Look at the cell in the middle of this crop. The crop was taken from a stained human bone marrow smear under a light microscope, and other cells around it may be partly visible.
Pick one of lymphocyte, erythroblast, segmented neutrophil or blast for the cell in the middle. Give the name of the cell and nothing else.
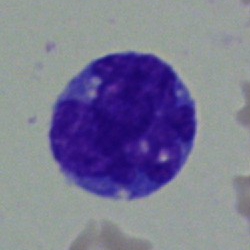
blast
